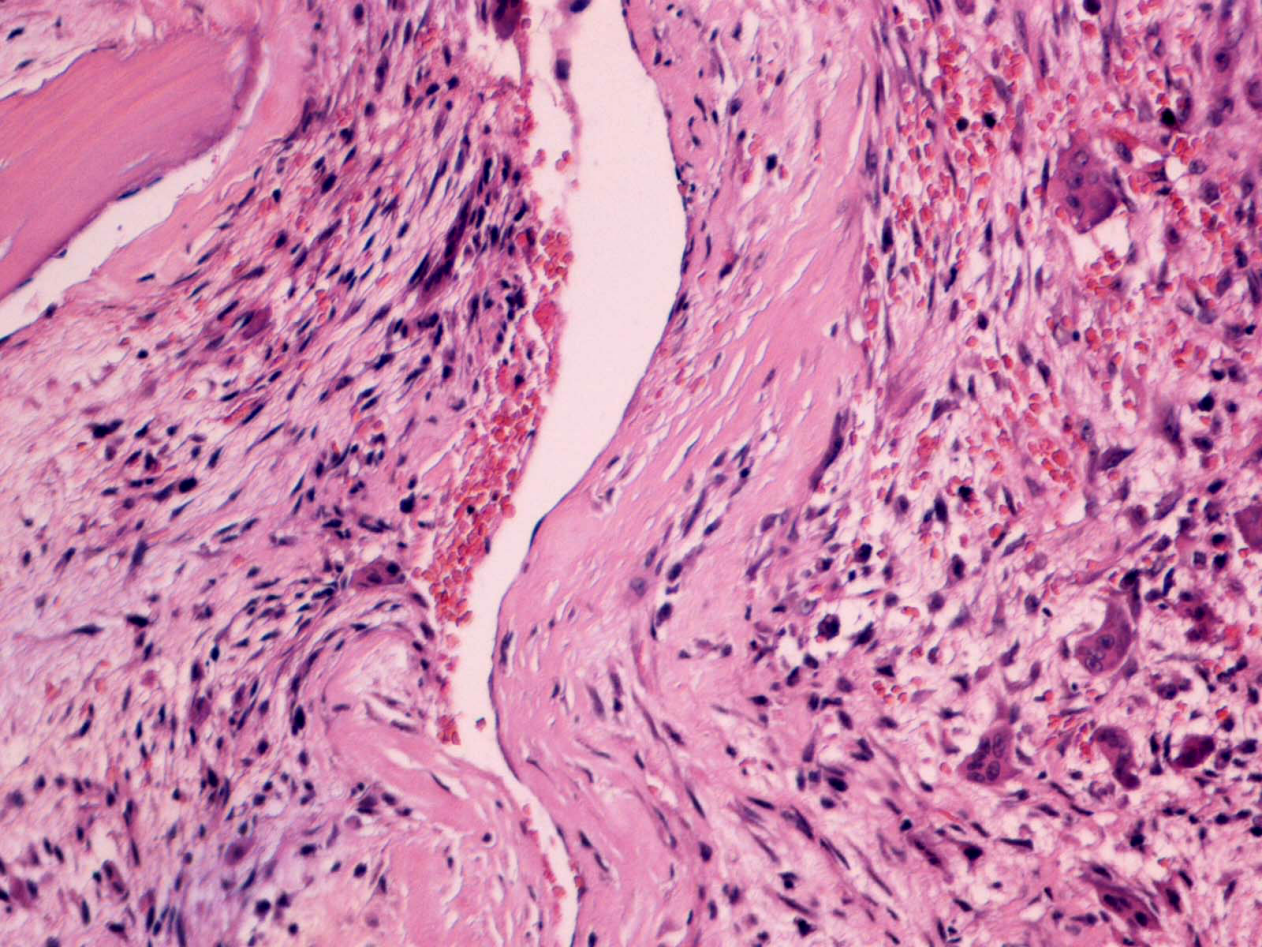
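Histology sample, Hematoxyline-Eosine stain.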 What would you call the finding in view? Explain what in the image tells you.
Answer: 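Extravasated red blood cells. Many small round orange-red cells without nuclei. They lie loose among the stromal cells, outside vessel walls. They also gather along the edge of the central cleft.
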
